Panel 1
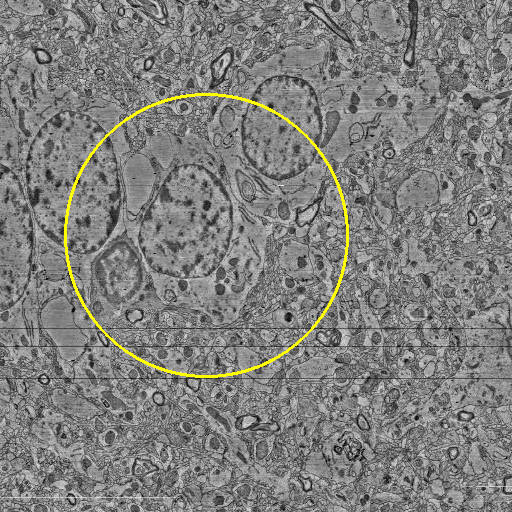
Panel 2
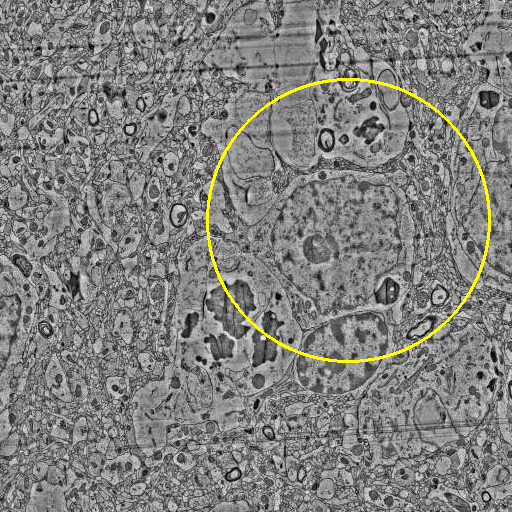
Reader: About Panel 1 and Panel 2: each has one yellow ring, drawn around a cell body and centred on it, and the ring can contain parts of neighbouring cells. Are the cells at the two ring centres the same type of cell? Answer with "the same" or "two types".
two types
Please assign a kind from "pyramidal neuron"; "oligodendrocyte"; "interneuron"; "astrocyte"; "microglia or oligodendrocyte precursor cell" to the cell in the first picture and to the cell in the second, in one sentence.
In the first picture we have an astrocyte, and in the second, an interneuron.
